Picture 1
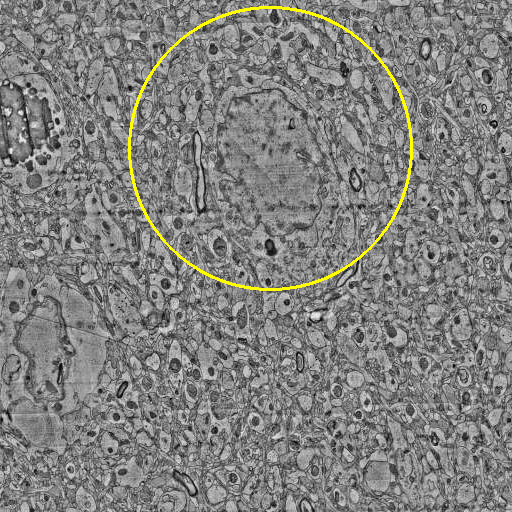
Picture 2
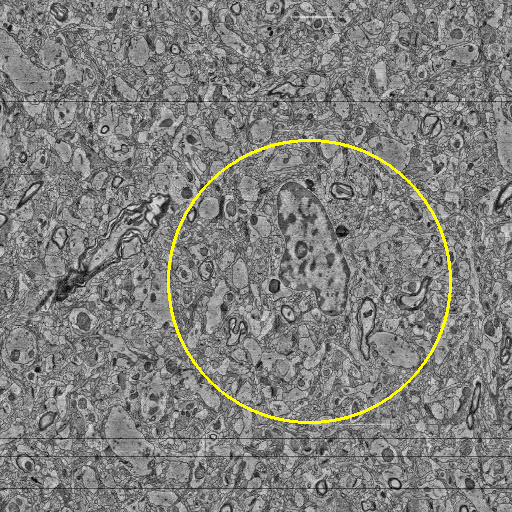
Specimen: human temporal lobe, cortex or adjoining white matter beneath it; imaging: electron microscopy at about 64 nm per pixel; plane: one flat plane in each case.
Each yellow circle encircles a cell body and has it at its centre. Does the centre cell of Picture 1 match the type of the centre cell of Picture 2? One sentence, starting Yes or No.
No, the cell centred in Picture 1 and the one in Picture 2 have separate types.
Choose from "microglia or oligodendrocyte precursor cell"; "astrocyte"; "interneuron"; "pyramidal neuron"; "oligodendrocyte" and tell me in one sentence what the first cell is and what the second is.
What the first ring is centred on is an interneuron; what the second ring is centred on is a microglial cell or oligodendrocyte precursor cell.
